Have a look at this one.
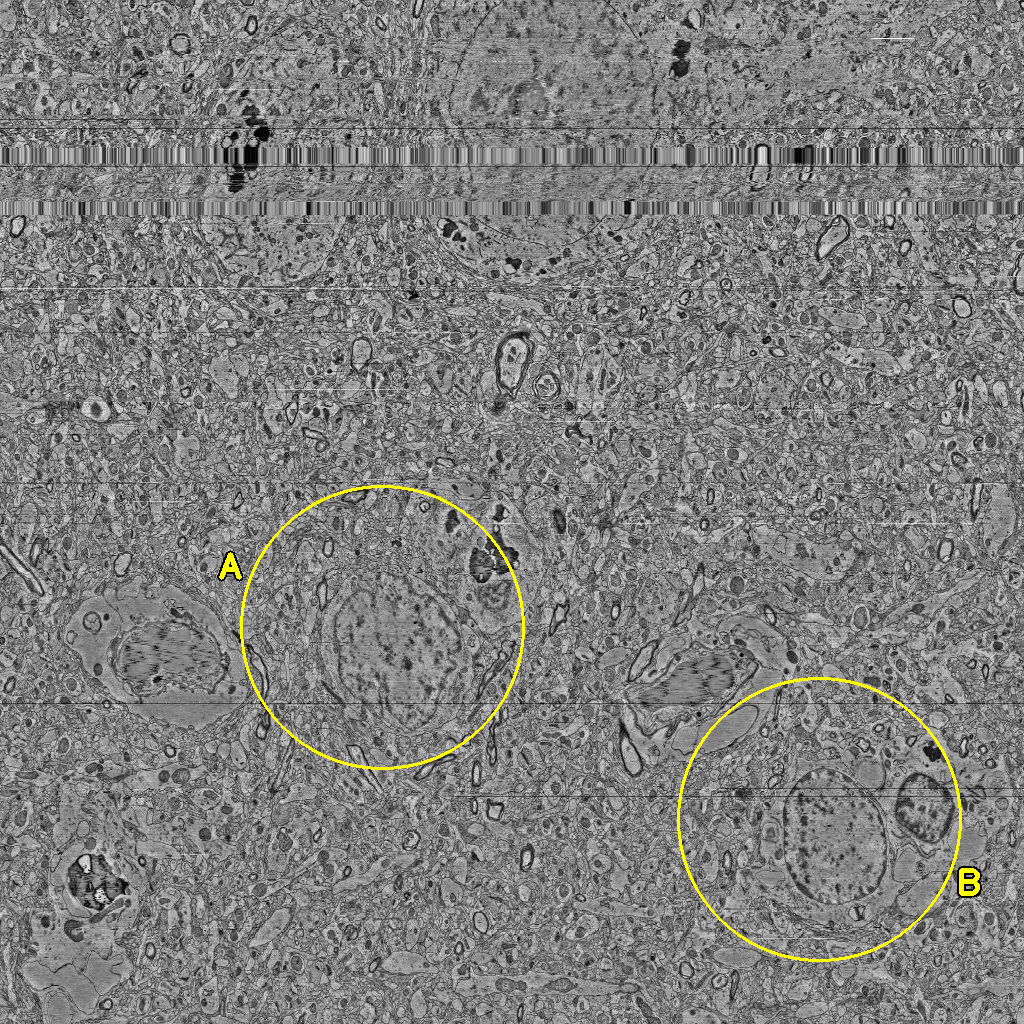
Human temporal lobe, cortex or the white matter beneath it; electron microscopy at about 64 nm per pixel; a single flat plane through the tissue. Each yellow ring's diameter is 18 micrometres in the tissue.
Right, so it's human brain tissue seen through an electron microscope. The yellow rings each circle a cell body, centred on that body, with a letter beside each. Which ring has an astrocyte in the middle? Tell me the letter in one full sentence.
That kind of cell is sitting in the middle of ring B there.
